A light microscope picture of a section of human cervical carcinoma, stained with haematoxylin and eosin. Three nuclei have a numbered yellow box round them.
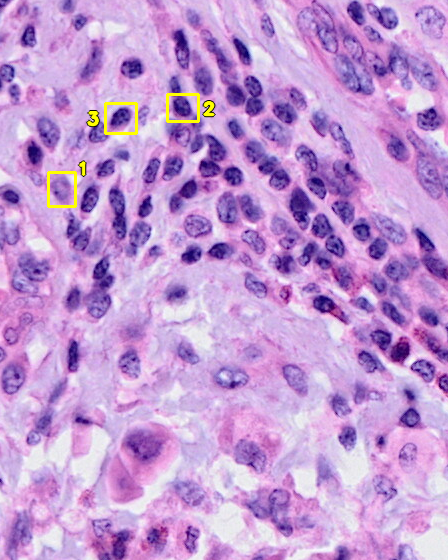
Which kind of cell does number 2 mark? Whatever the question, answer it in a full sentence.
In this section, the cell tagged 2 is a lymphocyte.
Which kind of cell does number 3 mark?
Here, the cell given the number 3 is a lymphocyte.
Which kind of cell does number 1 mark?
The cell identified by the number 1 is a macrophage or monocyte.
